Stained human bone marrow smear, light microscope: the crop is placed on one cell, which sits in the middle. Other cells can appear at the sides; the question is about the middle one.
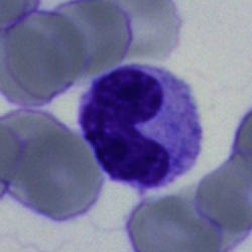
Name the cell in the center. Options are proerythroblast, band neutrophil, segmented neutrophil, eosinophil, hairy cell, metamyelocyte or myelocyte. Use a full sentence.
The cell centred in this crop is categorized as a band neutrophil.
